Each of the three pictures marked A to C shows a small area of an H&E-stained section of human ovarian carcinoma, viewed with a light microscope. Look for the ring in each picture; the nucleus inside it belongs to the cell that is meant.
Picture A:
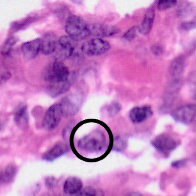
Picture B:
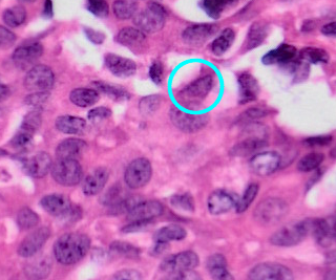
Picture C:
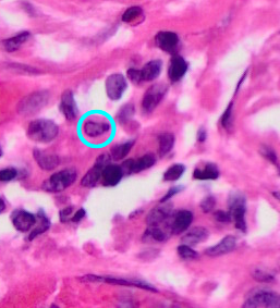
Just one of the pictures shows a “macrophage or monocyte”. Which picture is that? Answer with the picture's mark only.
C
